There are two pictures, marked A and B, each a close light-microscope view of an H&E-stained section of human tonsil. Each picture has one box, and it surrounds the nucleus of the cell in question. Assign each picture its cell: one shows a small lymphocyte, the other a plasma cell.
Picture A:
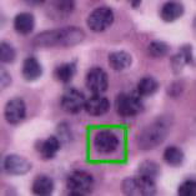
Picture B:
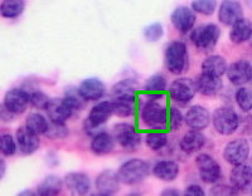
A: plasma cell
B: small lymphocyte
